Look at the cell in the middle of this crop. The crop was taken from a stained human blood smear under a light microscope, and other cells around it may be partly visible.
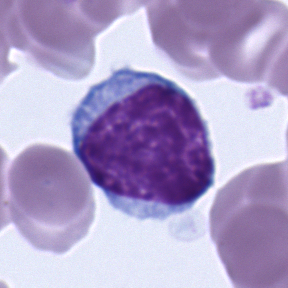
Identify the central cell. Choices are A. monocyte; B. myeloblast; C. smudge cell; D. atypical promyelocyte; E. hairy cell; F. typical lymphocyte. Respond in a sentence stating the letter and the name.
This one is option F, since the cell at the center is a typical lymphocyte.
